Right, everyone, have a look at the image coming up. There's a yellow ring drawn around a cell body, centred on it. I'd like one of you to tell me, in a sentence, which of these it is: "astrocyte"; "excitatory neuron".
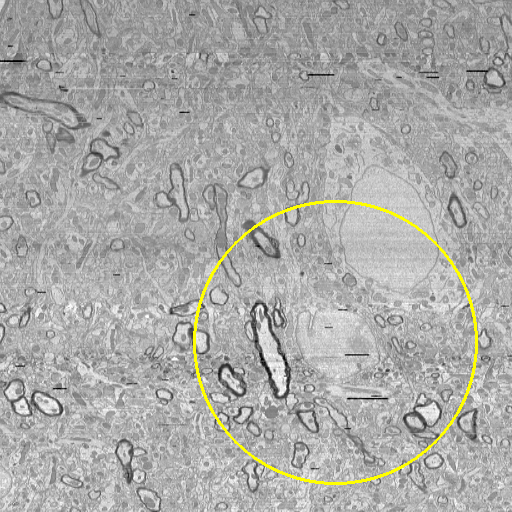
The yellow ring sits on an astrocyte.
